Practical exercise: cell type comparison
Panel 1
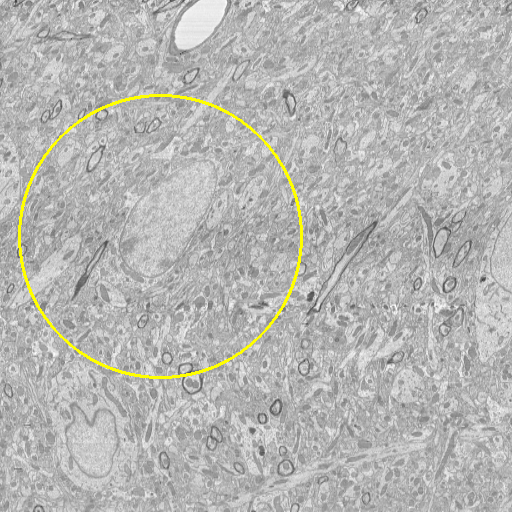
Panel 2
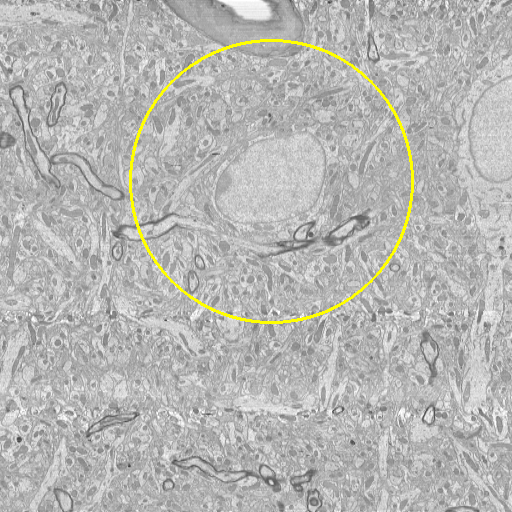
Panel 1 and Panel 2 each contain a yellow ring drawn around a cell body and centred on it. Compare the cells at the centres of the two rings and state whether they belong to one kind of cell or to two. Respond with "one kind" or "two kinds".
one kind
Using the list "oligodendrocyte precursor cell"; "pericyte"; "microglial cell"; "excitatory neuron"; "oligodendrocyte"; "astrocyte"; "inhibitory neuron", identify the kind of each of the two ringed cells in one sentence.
Each of the two rings is centred on an astrocyte.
